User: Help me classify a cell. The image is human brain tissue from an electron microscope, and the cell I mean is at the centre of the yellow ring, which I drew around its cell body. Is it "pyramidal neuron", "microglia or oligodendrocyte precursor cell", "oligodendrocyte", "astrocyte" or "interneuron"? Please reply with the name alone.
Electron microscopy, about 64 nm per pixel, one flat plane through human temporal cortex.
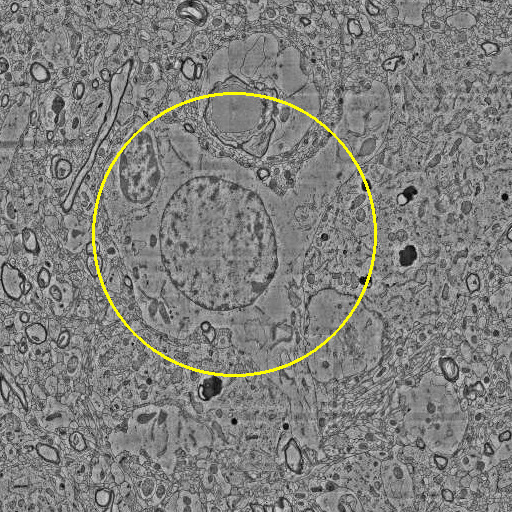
astrocyte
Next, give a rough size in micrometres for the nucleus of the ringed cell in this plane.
About 9 by 7 micrometers for the nucleus, in this plane.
